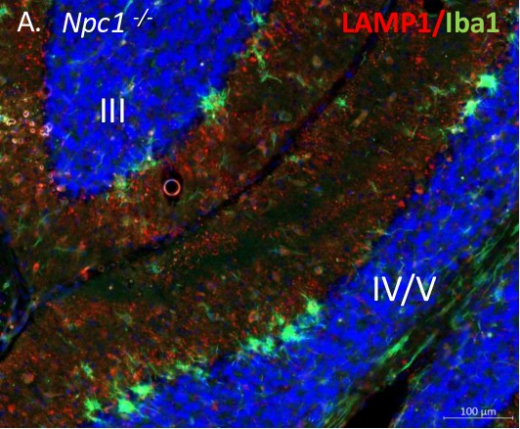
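This is cerebellar cortex showing folded lobules, each with a densely packed granular layer of small blue nuclei and an outer molecular layer that is darker and sparsely nucleated. Scattered green cells with small bodies and fine branching processes lie in the molecular layer and cluster along the border with the granular layer, some appearing bushy and enlarged. Red punctate granules are spread throughout the molecular layer and around cell bodies near the granular layer border, giving a speckled appearance. A few green elongated profiles also lie within the deeper fiber-rich region beneath the granular layer.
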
